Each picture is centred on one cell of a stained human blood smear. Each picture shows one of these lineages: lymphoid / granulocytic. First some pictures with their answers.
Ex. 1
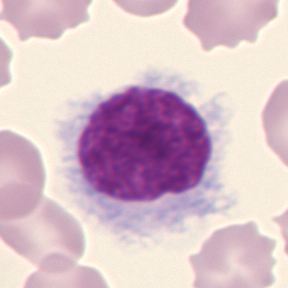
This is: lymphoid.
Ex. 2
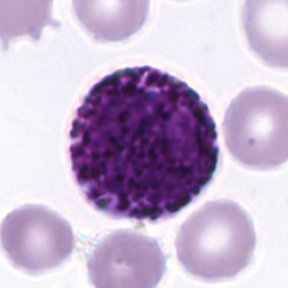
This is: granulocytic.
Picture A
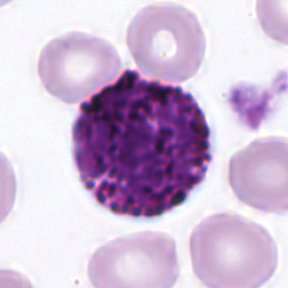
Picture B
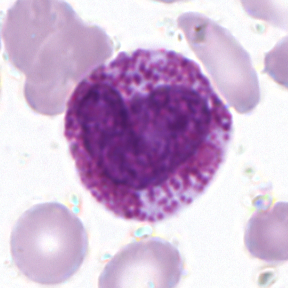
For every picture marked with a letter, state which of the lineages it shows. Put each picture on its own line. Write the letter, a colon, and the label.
A: granulocytic.
B: granulocytic.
